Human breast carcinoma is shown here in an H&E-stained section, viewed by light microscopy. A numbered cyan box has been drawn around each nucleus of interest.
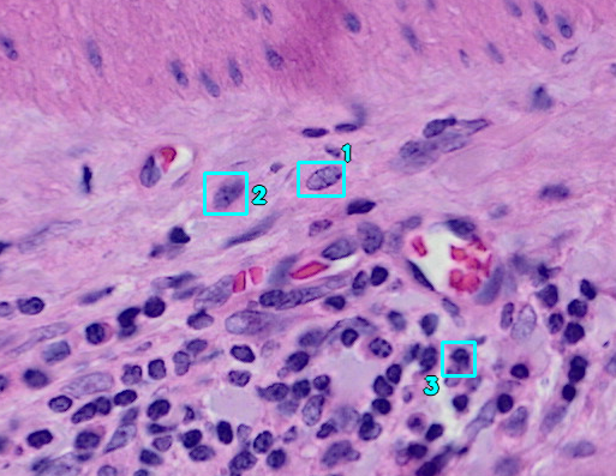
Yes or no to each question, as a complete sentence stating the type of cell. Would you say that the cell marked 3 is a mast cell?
No, cell number 3 is a lymphocyte; it is not a mast cell.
